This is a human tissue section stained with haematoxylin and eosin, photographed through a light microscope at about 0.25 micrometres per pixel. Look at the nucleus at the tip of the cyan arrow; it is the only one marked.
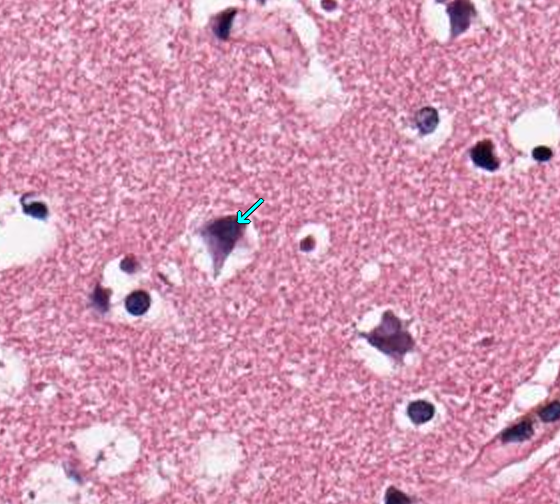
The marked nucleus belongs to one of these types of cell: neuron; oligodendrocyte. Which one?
neuron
